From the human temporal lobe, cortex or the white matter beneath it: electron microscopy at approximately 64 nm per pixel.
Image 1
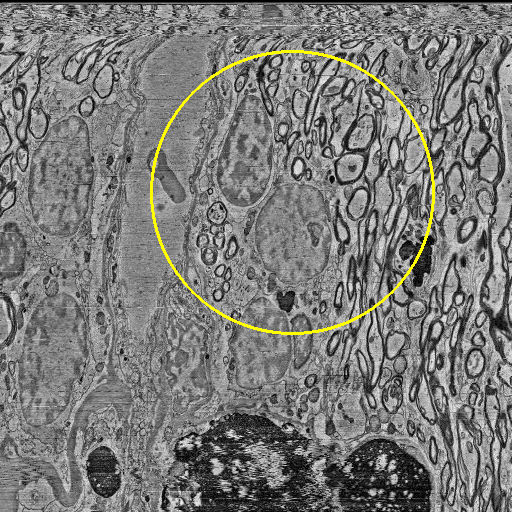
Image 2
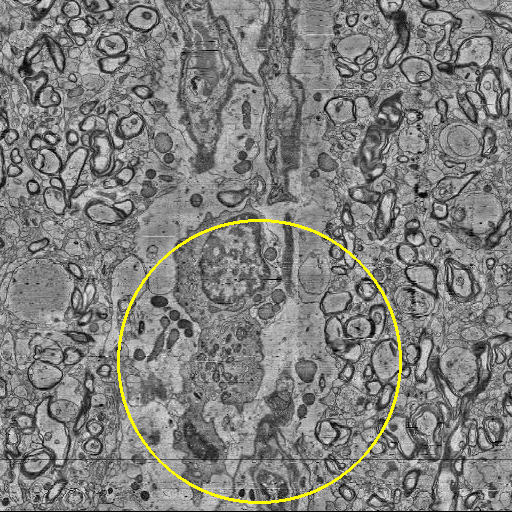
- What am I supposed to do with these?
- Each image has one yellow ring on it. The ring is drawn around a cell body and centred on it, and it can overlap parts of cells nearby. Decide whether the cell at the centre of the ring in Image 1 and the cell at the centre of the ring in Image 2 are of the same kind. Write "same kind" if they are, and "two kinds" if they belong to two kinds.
same kind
